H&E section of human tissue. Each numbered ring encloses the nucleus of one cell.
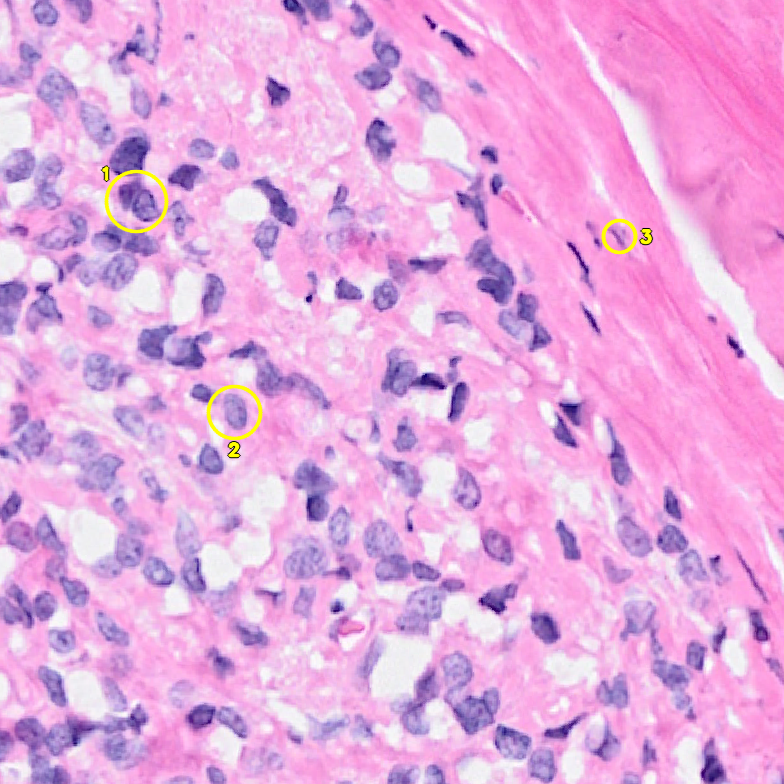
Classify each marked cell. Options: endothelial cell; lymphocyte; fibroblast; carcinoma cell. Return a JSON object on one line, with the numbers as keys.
{"1": "carcinoma cell", "2": "carcinoma cell", "3": "fibroblast"}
